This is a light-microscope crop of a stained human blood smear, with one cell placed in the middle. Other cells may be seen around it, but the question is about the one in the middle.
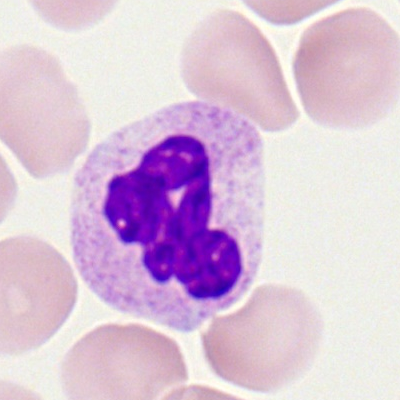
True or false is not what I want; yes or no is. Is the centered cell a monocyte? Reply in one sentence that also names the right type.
No, the middle cell is classified as a segmented neutrophil and not as a monocyte.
